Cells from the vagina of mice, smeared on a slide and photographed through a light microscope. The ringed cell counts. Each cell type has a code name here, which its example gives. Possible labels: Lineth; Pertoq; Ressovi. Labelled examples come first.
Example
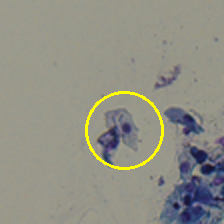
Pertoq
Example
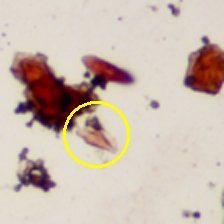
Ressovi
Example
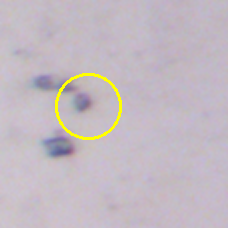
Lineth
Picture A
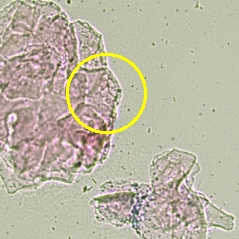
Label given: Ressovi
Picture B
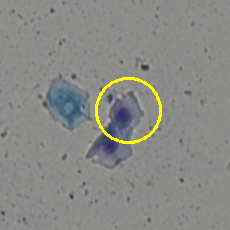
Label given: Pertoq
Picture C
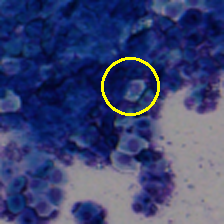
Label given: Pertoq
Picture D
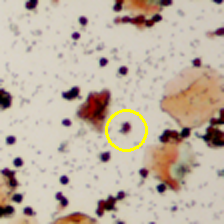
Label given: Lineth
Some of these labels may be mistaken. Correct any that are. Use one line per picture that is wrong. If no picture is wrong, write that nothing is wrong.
Every label is right.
